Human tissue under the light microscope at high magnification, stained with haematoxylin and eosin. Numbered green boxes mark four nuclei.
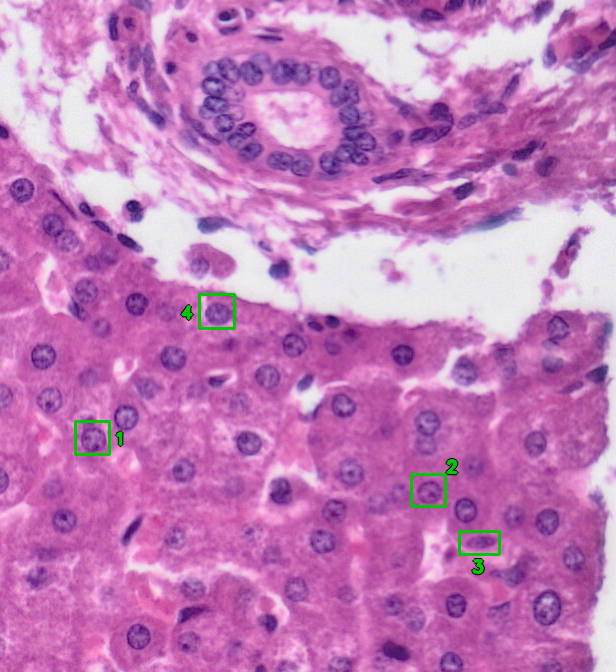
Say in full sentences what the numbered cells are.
Cells 1, 2 and 4 are hepatocytes. Cell 3 is a fibroblast or stellate cell.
